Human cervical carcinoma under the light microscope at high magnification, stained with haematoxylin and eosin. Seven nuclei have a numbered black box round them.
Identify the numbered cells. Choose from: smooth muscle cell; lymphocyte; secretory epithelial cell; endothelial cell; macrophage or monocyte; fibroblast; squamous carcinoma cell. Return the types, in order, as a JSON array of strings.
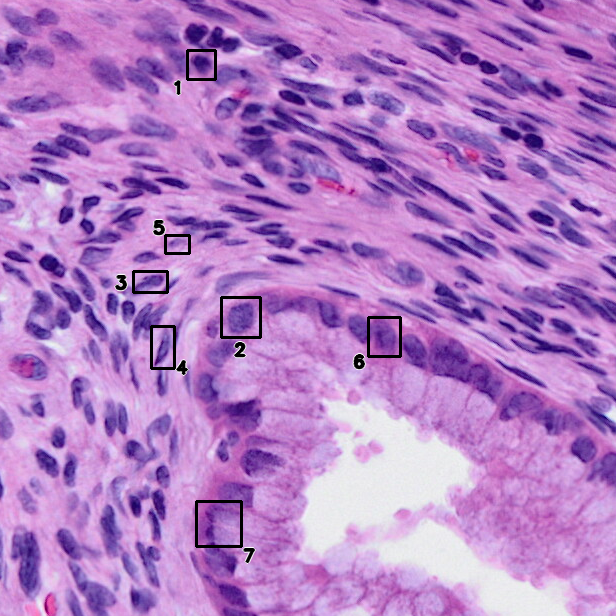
["lymphocyte", "secretory epithelial cell", "fibroblast", "fibroblast", "fibroblast", "secretory epithelial cell", "secretory epithelial cell"]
